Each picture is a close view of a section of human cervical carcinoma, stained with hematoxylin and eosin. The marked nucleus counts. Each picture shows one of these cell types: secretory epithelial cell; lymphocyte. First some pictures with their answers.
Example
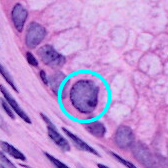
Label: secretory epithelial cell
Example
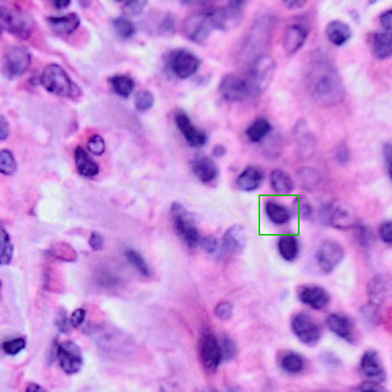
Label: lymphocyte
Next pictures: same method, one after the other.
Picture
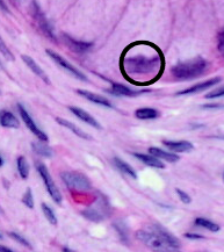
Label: secretory epithelial cell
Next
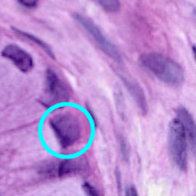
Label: secretory epithelial cell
